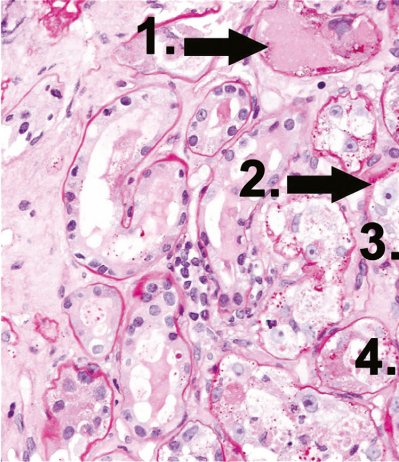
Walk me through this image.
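This is renal cortex in which the tubules show extensive damage. The basement membranes stand out as sharp magenta lines around each tubule. Between the tubules the interstitium is pale and loose in places, consistent with edema, and scattered small dark nuclei lie in it.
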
